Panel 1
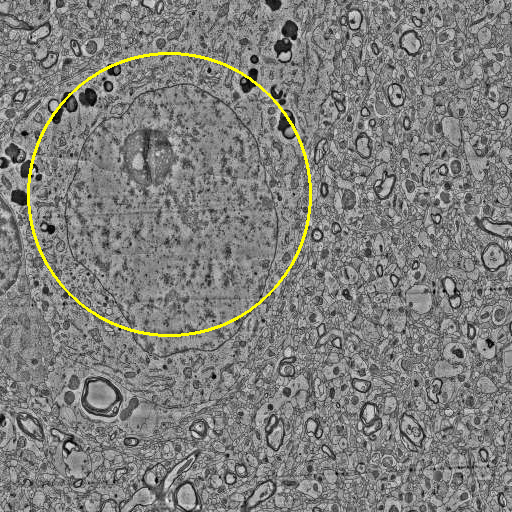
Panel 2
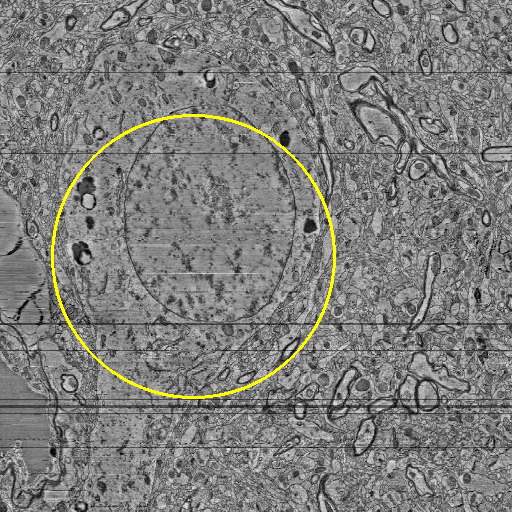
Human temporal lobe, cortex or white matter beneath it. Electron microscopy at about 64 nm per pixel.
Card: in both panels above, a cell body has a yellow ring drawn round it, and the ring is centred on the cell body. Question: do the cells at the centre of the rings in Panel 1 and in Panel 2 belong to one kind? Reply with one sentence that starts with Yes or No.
Yes, the cells centred in the rings of Panel 1 and Panel 2 are one kind of cell.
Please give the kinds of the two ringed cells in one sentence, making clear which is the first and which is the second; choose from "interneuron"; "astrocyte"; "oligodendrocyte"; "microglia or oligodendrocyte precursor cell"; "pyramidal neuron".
The second cell is a pyramidal neuron, just as the first is.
